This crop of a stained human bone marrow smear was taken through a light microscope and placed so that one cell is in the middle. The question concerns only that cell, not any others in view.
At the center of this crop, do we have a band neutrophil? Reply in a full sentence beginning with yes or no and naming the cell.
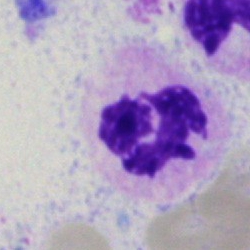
No, sorry, the middle cell is a segmented neutrophil rather than a band neutrophil.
